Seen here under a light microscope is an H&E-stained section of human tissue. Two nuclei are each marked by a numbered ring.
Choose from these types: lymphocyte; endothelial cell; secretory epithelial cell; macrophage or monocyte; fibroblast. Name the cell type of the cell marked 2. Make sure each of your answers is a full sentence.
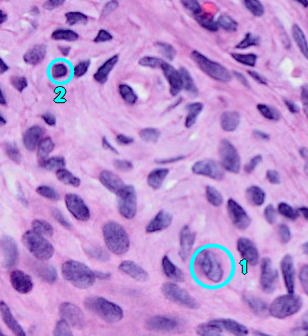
The cell assigned the number 2 is a fibroblast.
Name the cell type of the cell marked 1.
Within this field of view, the cell labelled 1 is an endothelial cell.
